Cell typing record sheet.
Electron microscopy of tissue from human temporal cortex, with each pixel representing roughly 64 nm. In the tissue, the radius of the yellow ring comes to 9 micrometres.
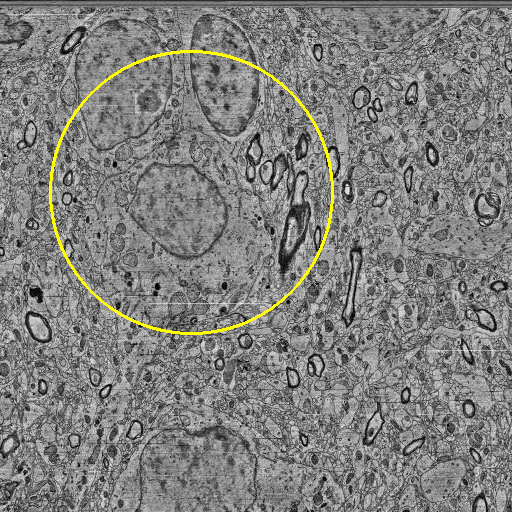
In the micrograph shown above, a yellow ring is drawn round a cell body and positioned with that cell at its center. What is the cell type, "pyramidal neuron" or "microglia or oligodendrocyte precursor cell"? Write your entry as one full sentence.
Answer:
The cell body at the center of the ring belongs to a pyramidal neuron.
